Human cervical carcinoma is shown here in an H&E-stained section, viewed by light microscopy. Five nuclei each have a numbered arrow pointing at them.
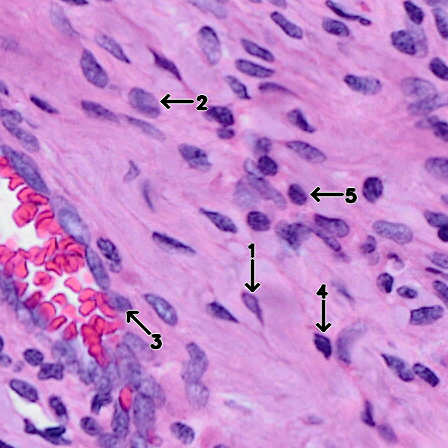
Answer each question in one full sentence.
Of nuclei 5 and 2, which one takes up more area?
Of the two, number 2 is bigger and takes up about 2 times the area of number 5.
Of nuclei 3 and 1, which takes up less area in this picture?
Nucleus 1 is the smaller one; nucleus 3 covers about 2 times its area.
